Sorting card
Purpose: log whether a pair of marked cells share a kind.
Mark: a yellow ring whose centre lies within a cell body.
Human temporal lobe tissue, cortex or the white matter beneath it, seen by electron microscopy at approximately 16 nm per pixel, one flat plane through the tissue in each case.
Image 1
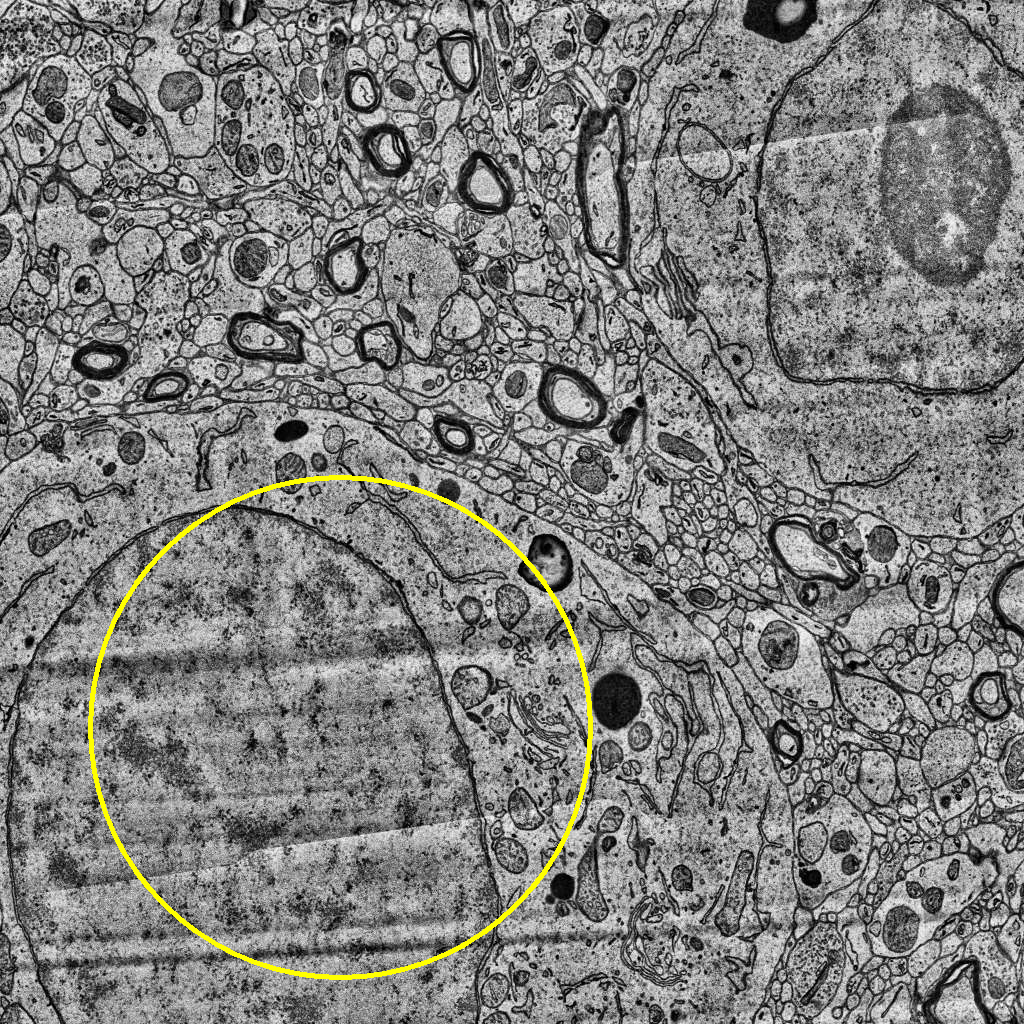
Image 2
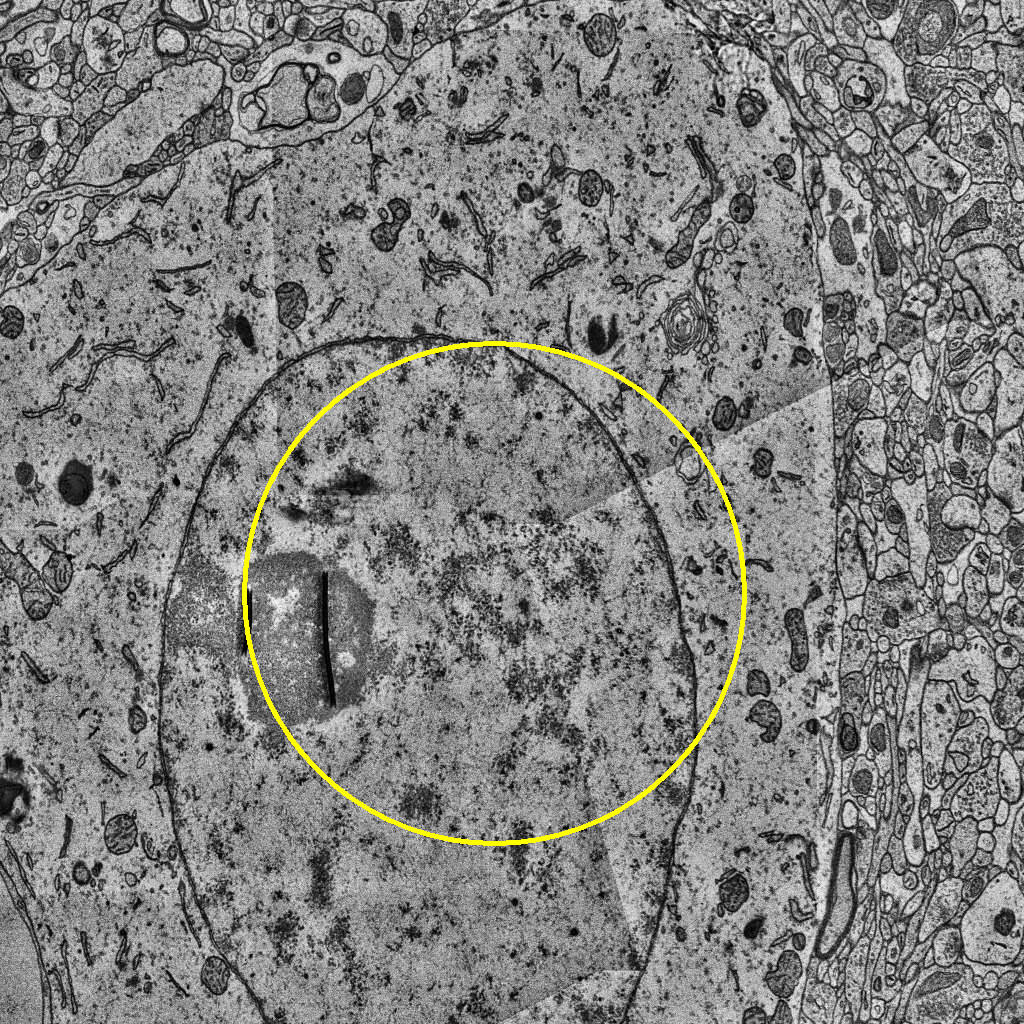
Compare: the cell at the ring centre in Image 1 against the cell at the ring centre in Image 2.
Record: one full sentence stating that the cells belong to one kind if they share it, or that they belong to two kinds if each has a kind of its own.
Across Images 1 and 2, the two cells at the ring centres belong to one kind.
